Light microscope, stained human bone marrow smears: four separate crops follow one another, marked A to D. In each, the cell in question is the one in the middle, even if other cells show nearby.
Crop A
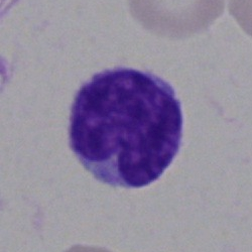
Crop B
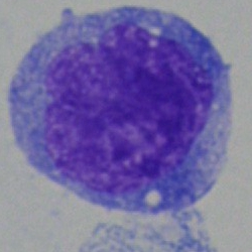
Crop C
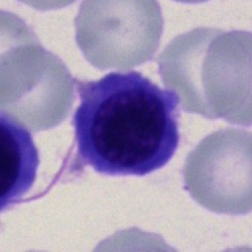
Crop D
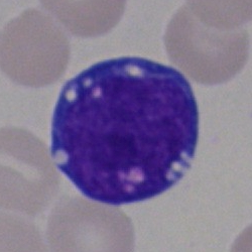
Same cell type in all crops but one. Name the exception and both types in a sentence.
Crop C is the one to flag: it is a normoblast, and the rest show blasts.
